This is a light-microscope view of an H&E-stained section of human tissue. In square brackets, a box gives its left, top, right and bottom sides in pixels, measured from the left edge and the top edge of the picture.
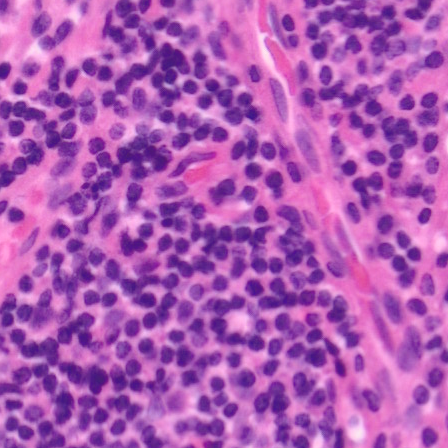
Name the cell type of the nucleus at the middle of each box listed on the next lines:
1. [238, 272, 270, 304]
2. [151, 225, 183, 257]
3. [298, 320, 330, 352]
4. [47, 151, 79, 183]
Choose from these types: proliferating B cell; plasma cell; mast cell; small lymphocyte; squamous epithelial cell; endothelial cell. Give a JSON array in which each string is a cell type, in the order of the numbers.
["small lymphocyte", "small lymphocyte", "small lymphocyte", "endothelial cell"]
